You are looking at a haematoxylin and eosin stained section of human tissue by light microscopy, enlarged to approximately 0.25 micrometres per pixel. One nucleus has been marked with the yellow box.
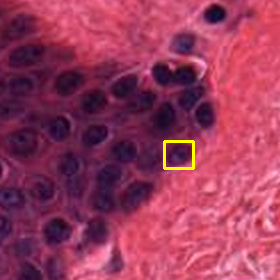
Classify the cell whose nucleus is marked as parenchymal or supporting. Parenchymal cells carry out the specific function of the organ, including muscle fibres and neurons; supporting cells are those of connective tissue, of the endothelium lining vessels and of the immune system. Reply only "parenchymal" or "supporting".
parenchymal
